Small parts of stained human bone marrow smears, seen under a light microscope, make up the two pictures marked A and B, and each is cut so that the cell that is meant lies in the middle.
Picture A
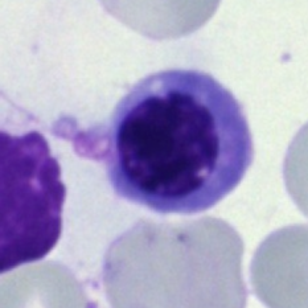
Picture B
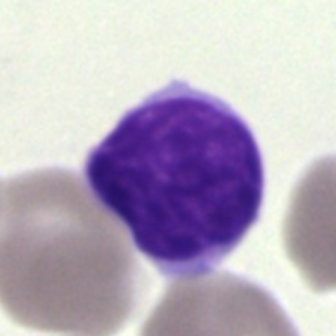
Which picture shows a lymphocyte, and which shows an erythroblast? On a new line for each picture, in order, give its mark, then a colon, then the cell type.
A: erythroblast
B: lymphocyte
